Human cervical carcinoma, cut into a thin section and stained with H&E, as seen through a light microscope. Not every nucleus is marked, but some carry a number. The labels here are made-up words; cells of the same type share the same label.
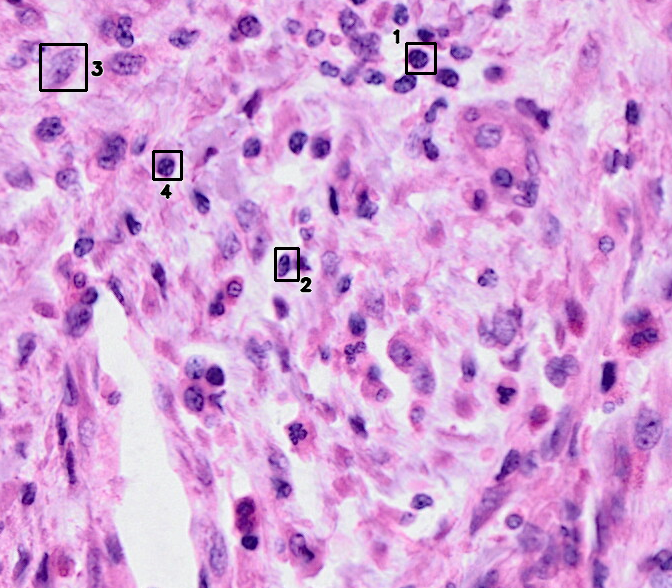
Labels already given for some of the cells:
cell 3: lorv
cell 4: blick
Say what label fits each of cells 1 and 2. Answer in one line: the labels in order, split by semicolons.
blick; blick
